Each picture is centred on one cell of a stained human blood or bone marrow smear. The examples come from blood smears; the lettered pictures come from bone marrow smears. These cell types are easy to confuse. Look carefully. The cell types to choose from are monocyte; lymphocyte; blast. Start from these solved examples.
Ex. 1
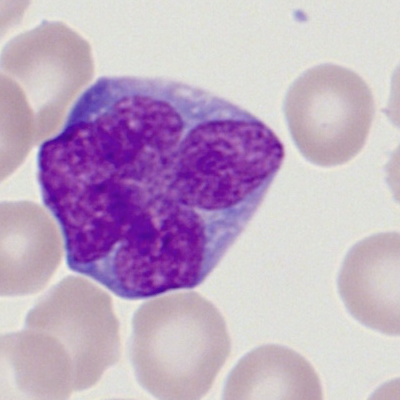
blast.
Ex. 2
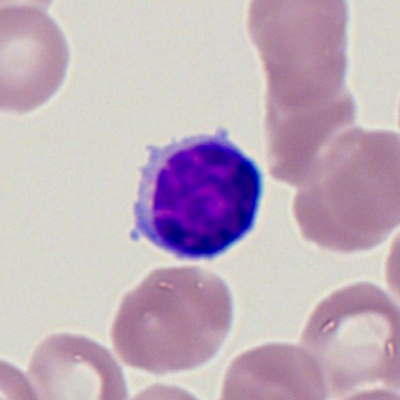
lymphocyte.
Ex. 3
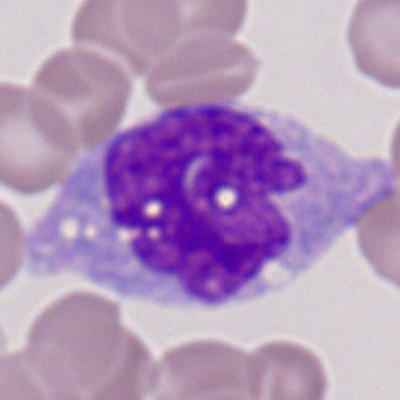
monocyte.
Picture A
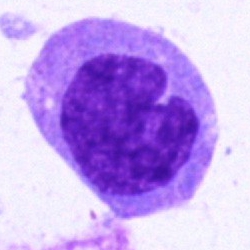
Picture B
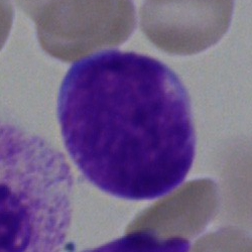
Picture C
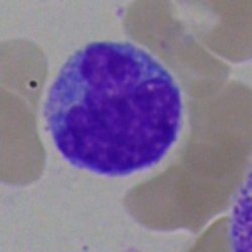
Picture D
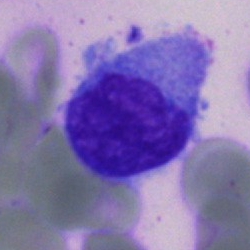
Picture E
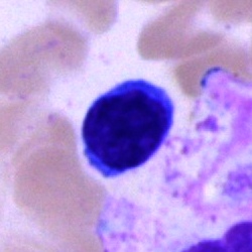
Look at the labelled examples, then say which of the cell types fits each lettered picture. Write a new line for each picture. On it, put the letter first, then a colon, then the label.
A: monocyte.
B: blast.
C: monocyte.
D: monocyte.
E: lymphocyte.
